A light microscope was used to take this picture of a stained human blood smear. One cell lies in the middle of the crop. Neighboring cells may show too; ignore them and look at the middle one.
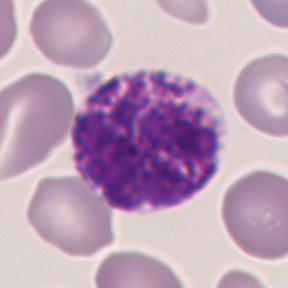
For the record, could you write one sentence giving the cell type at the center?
The cell found in the middle of this crop is a basophil.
